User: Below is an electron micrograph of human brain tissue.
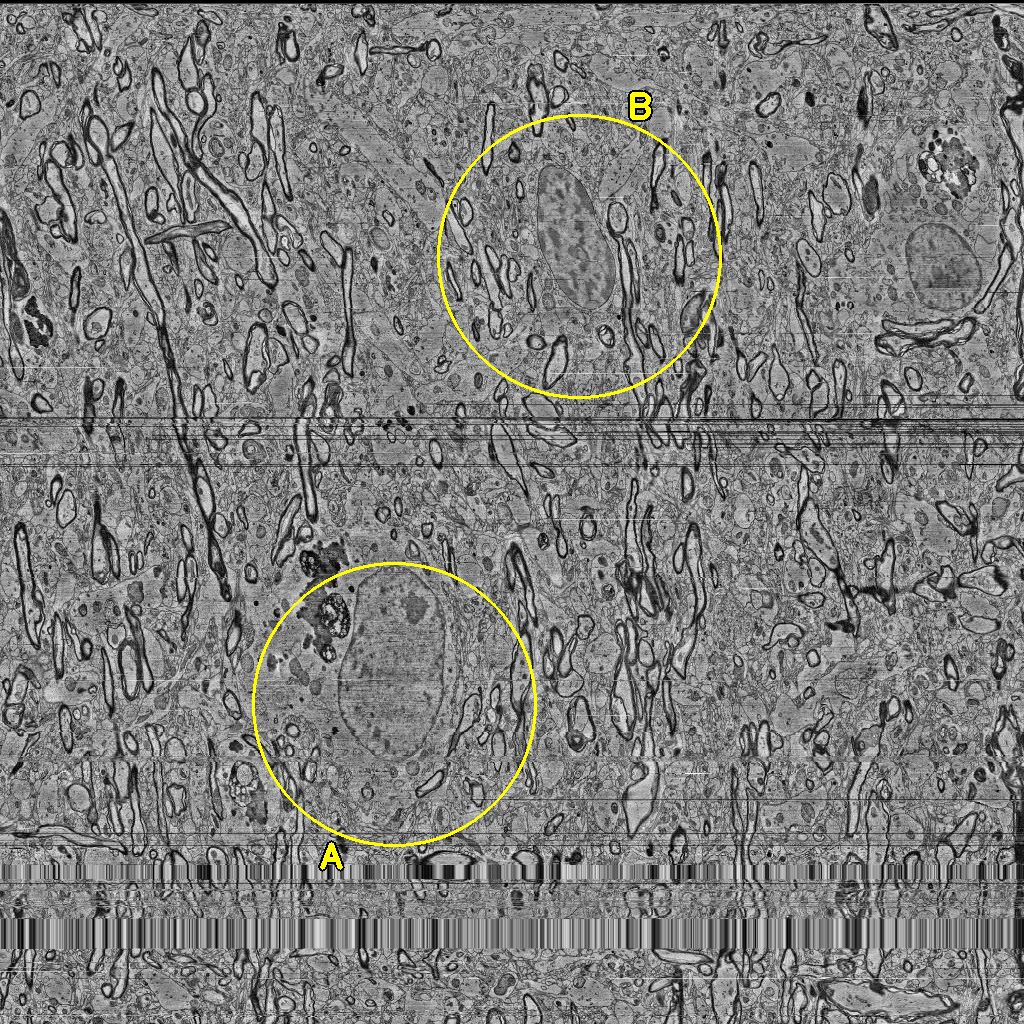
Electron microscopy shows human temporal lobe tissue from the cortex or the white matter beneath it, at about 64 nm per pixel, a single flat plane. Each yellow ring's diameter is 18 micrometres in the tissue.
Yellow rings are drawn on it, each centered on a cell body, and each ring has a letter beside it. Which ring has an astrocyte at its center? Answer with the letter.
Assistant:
A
